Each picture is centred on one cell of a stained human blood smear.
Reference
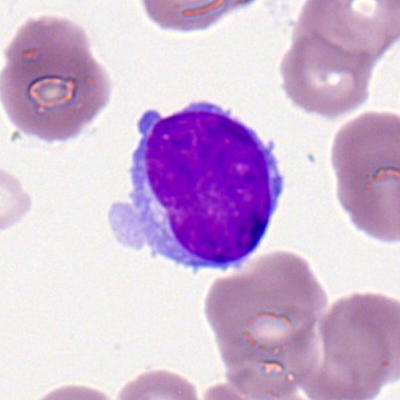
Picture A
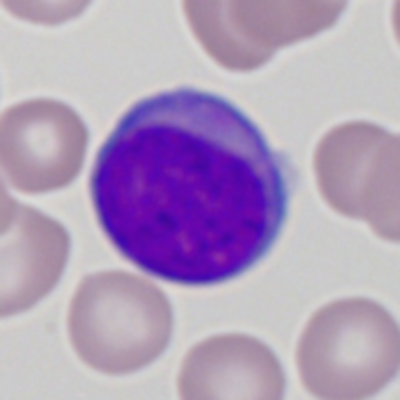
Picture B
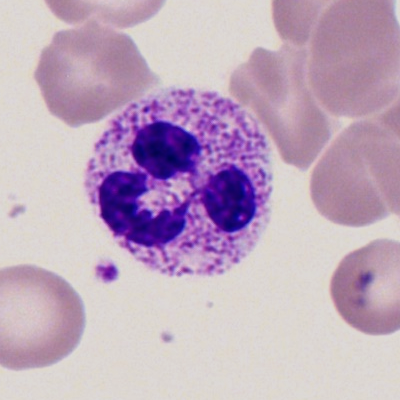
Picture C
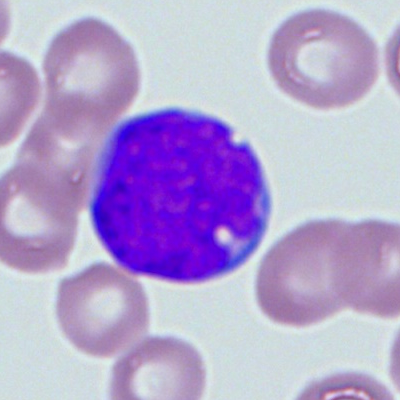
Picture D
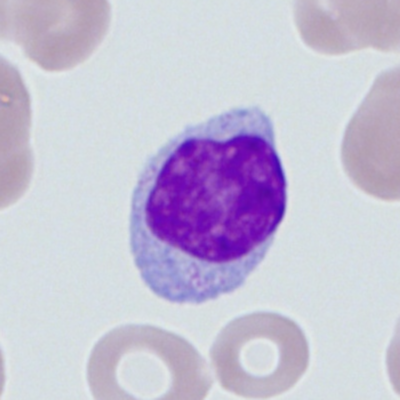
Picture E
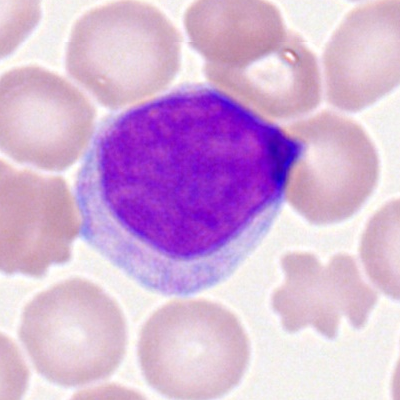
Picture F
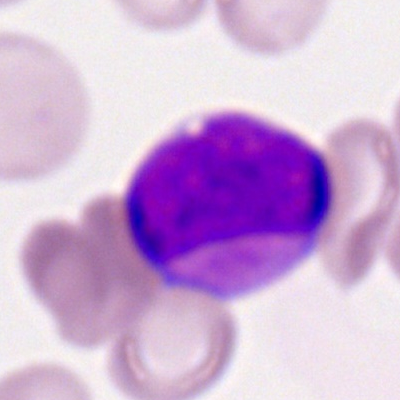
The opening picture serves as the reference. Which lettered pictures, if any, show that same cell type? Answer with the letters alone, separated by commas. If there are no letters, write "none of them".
D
